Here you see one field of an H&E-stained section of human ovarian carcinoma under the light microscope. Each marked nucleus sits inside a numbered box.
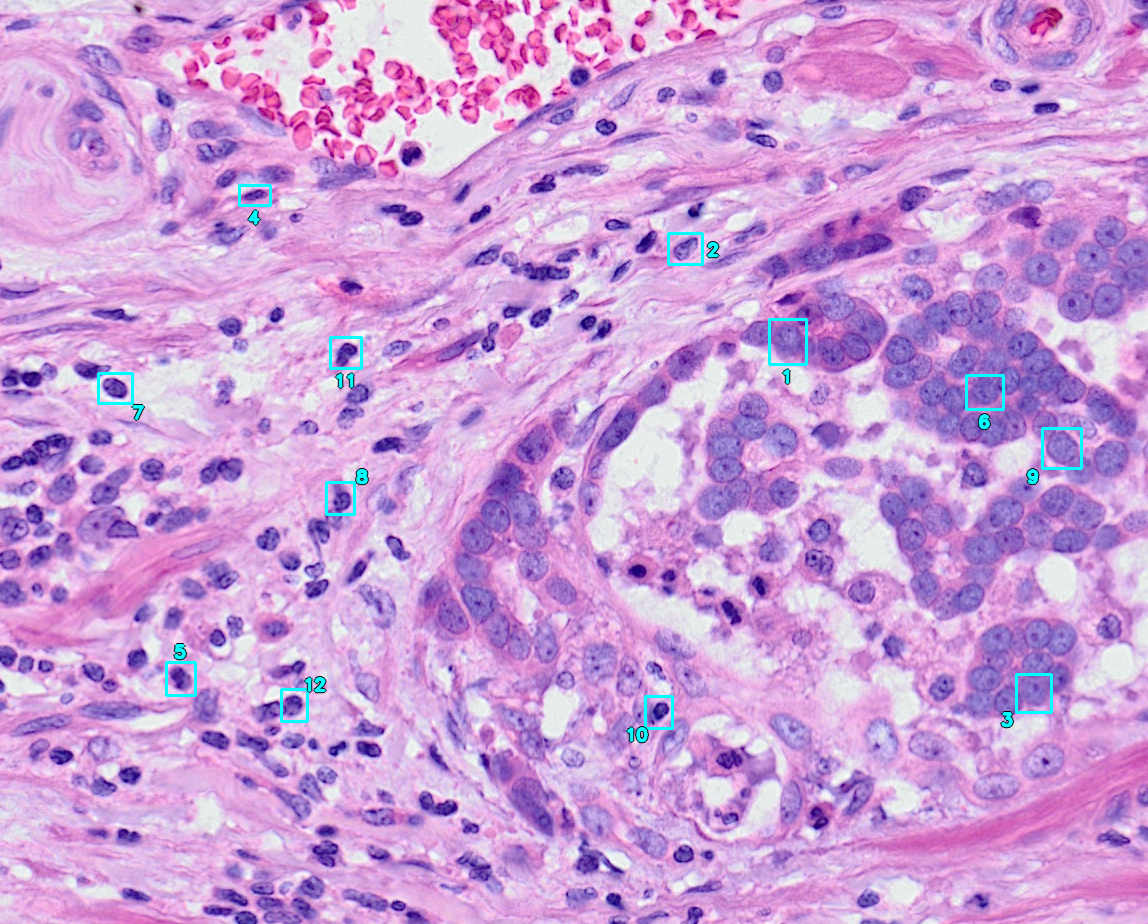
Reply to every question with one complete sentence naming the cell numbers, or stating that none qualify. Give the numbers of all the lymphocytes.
The numbers 2, 5, 7, 8, 10, 11 and 12 refer to cells that are lymphocytes.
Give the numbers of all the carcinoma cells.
The cells numbered 1, 3, 6 and 9 are of the kind known as carcinoma cells.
